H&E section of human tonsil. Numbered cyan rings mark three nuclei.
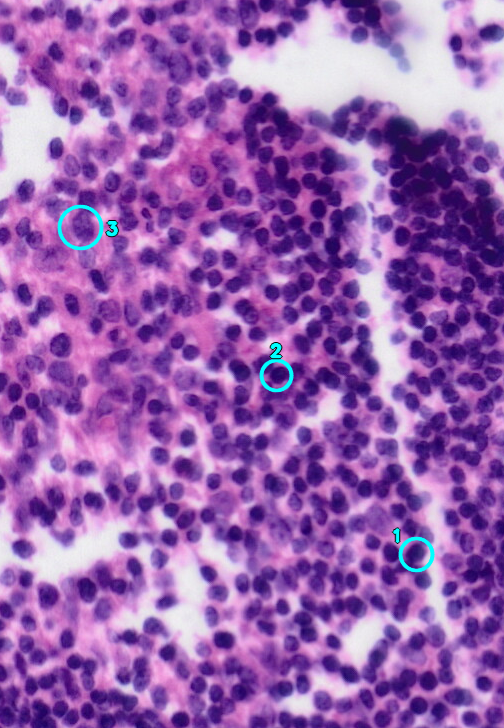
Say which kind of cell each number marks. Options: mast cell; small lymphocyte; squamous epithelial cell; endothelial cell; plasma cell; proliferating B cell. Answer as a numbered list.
1. small lymphocyte
2. small lymphocyte
3. proliferating B cell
